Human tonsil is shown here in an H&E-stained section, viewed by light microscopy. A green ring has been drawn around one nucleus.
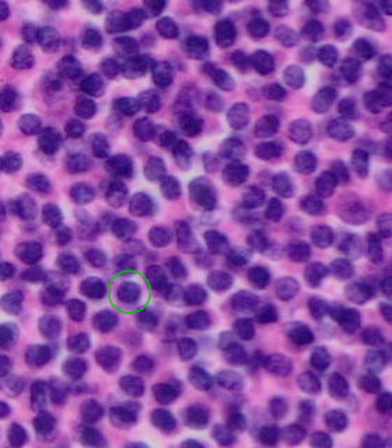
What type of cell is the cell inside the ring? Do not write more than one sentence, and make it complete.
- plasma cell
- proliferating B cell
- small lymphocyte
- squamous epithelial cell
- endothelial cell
Recorded by type, the cell inside the ring is a small lymphocyte.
